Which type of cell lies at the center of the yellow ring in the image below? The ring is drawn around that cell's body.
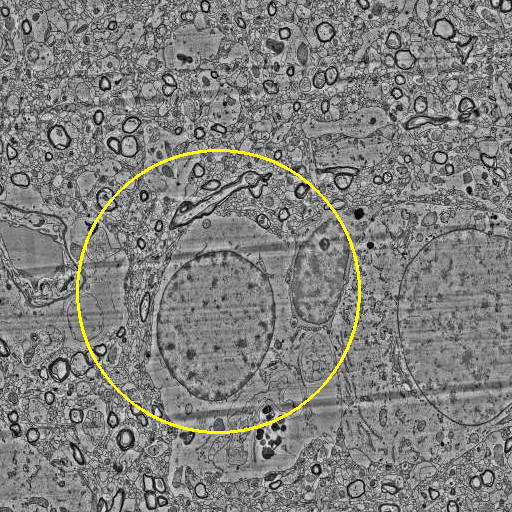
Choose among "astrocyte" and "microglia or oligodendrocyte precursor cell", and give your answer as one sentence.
The cell body at the center belongs to an astrocyte.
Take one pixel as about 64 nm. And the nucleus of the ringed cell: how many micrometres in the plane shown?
Roughly 10 micrometres by 7 micrometres, in this plane.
